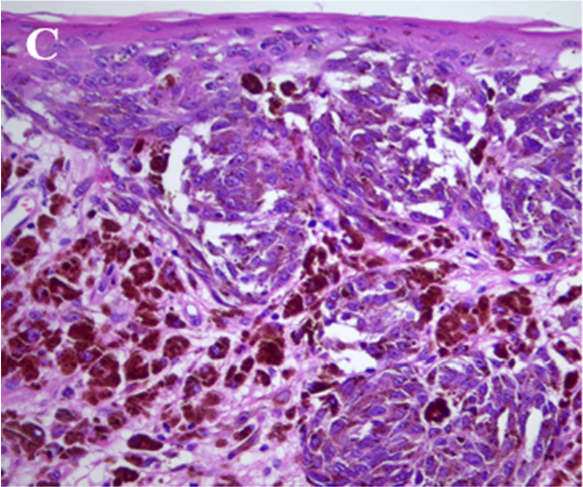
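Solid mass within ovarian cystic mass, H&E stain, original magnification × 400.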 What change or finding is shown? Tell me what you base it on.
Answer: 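Nests of atypical pigmented cells abut and extend into the base of the overlying squamous epithelium. Single atypical cells lie within the lower epithelial layers. That points to this answer: Junctional activity.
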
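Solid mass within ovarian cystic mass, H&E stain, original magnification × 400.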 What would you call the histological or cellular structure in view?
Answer: infiltrating nests of pleomorphic cells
